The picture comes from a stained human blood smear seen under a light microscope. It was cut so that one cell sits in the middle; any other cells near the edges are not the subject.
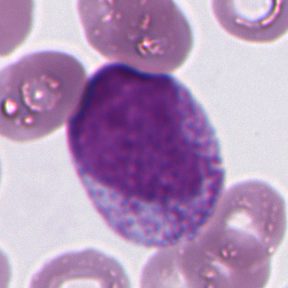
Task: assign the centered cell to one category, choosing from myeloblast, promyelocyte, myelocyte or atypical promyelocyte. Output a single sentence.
Classified as a myelocyte is the cell in the middle of this crop.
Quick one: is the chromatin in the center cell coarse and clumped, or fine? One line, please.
In this cell the chromatin is fine rather than coarsely clumped.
